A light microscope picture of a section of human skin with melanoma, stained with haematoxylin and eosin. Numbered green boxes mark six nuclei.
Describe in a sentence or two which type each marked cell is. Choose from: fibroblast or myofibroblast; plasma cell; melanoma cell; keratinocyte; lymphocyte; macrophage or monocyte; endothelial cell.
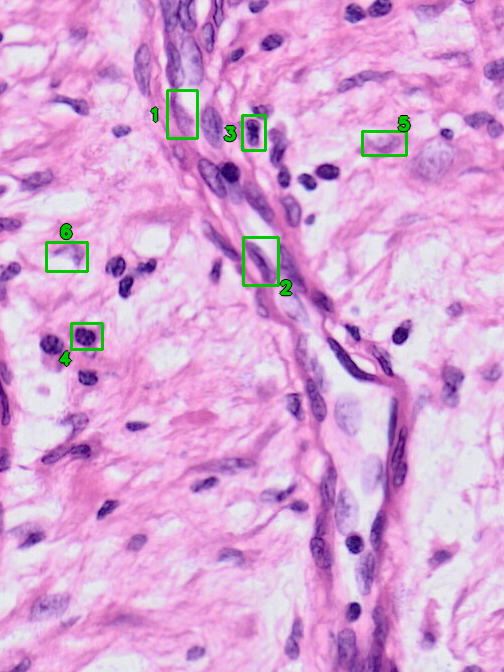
Cells 1 and 2 are endothelial cells. Cell 3 is a lymphocyte. Cell 4 is a plasma cell. Cells 5 and 6 are fibroblasts or myofibroblasts.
